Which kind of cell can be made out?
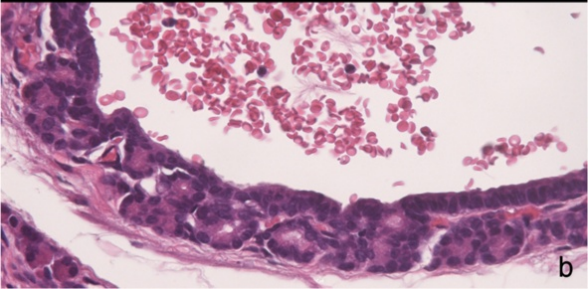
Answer: Cells with acinar differentiation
